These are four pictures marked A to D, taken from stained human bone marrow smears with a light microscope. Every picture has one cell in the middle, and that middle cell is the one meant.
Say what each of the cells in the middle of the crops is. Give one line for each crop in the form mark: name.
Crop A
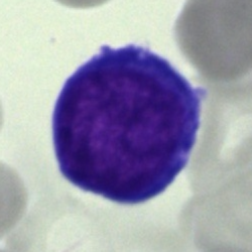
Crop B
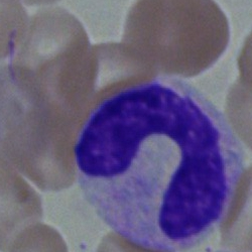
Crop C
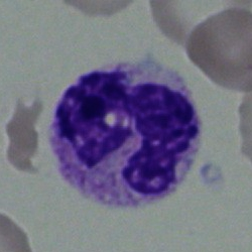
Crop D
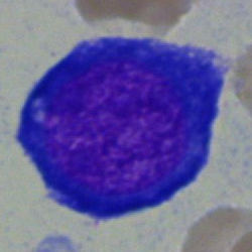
A: proerythroblast
B: band neutrophil
C: segmented neutrophil
D: proerythroblast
